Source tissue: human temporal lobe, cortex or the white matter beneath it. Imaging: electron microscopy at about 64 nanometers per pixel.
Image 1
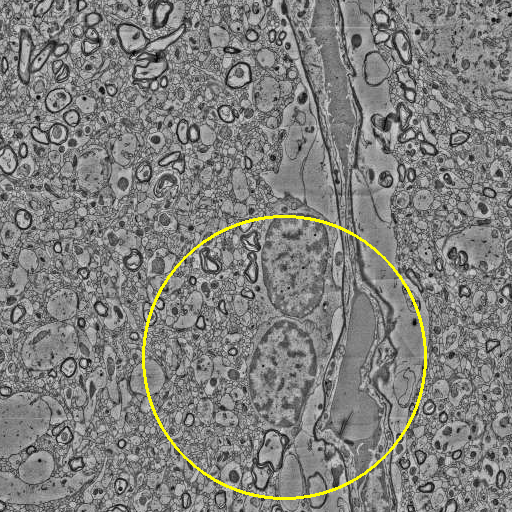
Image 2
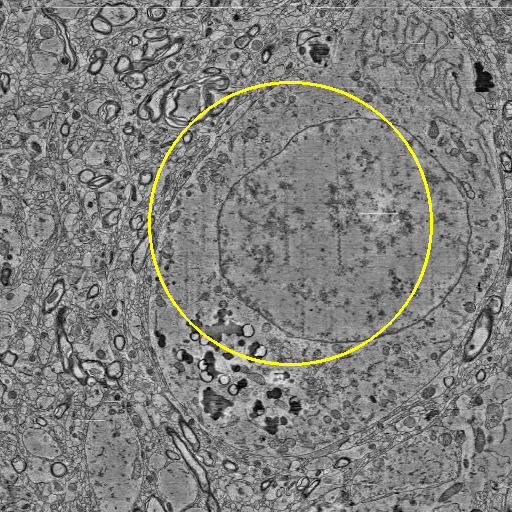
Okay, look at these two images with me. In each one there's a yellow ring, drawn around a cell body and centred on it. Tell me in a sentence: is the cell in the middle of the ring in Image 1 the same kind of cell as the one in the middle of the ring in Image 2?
No, they're two kinds of cell.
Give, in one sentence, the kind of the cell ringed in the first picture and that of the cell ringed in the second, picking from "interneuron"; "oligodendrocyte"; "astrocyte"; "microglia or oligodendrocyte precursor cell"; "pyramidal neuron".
For the first picture it is an oligodendrocyte; for the second, a pyramidal neuron.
